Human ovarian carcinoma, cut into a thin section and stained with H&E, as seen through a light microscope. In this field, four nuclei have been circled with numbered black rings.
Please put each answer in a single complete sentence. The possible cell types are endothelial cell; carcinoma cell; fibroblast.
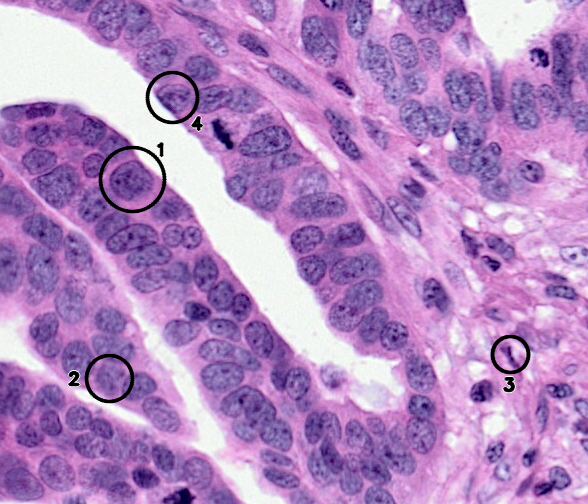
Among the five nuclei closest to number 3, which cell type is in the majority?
Of the five nuclei nearest to number 3, most belong to endothelial cells.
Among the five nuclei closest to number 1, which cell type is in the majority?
Around number 1, most of the five nearest nuclei are those of carcinoma cells.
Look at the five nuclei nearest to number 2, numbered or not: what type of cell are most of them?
Carcinoma cells account for more than half of the five nuclei nearest to number 2.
